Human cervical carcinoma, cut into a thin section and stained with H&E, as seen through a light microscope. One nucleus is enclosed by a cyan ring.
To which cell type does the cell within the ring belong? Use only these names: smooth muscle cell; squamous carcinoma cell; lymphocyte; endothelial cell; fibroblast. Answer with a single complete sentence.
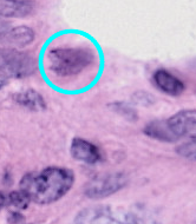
The cell within the ring is a squamous carcinoma cell.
